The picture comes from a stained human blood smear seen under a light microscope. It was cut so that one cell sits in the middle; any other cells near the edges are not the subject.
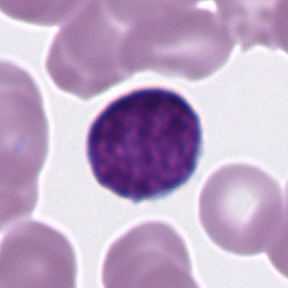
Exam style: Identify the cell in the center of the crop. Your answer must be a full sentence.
Whatever else lies nearby, the middle cell is a typical lymphocyte.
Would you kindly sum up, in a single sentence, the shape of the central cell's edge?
Around its whole circumference the outline stays smooth, free of projections.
